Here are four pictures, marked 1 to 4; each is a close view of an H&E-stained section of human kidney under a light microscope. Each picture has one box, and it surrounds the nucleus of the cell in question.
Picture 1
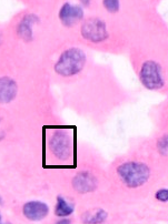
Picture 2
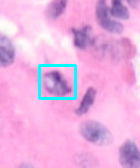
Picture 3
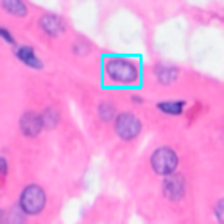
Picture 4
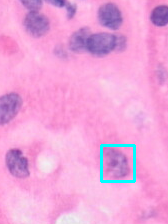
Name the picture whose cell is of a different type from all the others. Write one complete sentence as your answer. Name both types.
Picture 4 is the odd one out: it shows a proximal tubule cell, while the others show “loop of Henle or distal tubule cells”.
